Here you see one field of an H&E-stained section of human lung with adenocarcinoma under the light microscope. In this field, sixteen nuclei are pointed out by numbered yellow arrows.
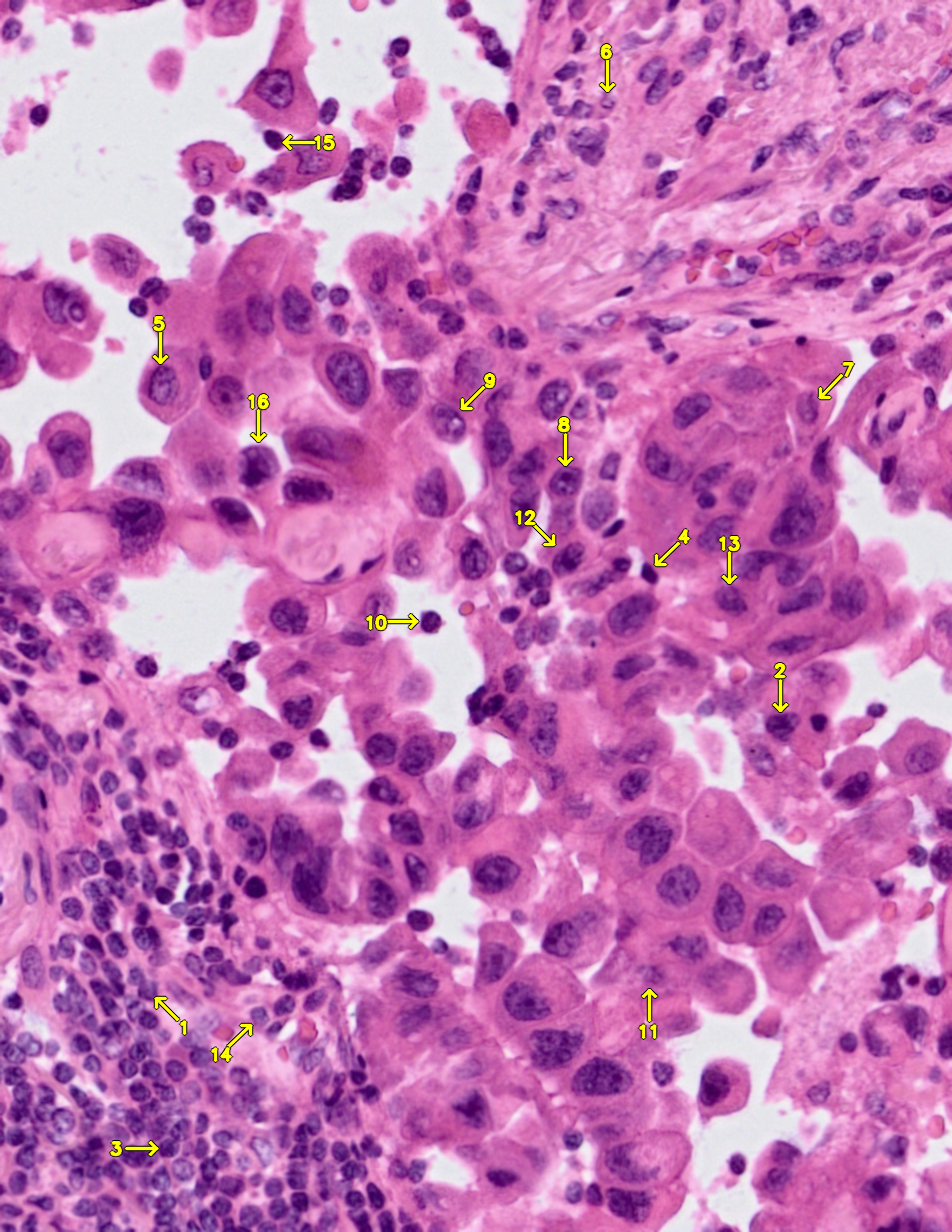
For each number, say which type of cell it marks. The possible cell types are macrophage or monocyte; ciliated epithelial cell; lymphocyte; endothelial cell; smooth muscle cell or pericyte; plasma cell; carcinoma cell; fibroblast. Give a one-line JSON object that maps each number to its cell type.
{"1": "lymphocyte", "2": "carcinoma cell", "3": "lymphocyte", "4": "lymphocyte", "5": "carcinoma cell", "6": "plasma cell", "7": "carcinoma cell", "8": "carcinoma cell", "9": "carcinoma cell", "10": "lymphocyte", "11": "carcinoma cell", "12": "carcinoma cell", "13": "carcinoma cell", "14": "lymphocyte", "15": "lymphocyte", "16": "carcinoma cell"}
